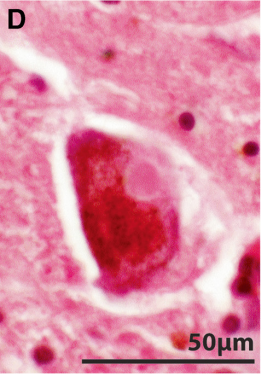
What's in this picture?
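A large neuron with an angular cell body and deep red cytoplasm sits in a pink tissue background, separated from it by a clear space. Within the cell body lies a rounded, smoother pale pink inclusion, and small dark nuclei of other cells lie nearby.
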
